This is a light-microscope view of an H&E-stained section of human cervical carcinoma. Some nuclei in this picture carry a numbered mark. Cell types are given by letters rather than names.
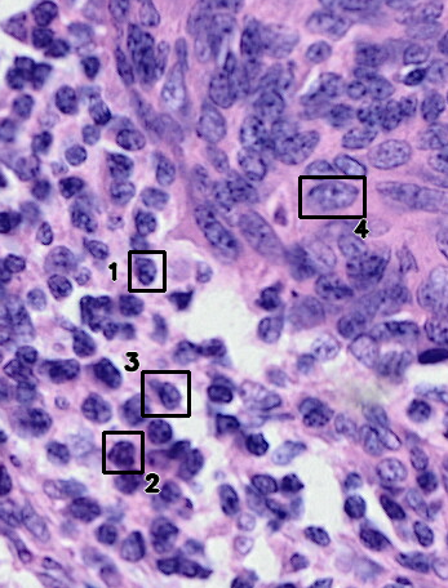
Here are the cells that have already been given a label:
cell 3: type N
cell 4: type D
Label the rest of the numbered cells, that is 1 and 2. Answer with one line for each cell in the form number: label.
1: type N
2: type N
